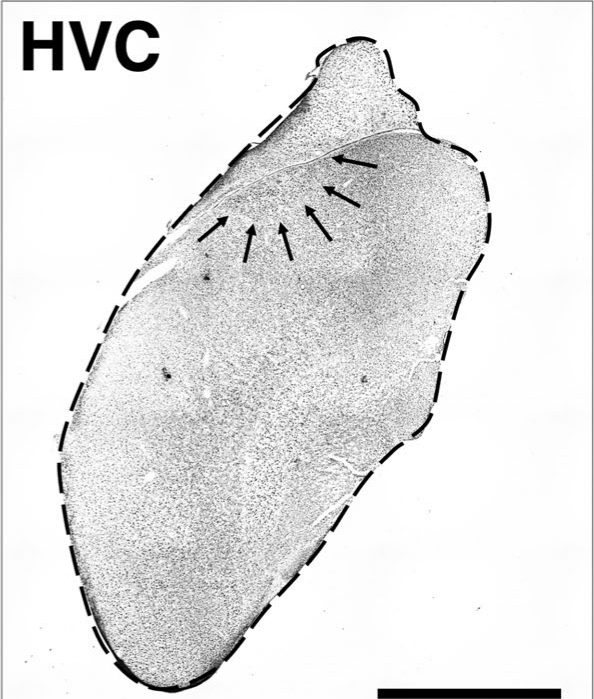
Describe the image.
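The elongated section is traced by a dashed line. Near its upper edge, just beneath a thin pale cleft running along the top of the tissue, a crescent of arrows marks the lower boundary of an oval region that appears slightly denser and darker than the tissue below it. A small lobe of tissue protrudes above the cleft at the top. The rest of the section shows fairly uniform scattered cells with a few small vessels.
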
